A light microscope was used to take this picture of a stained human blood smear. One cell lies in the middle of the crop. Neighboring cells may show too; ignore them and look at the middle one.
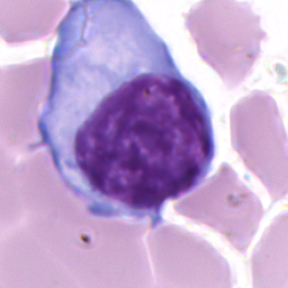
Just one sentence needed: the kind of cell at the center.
What sits at the centre of this crop is a plasma cell.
